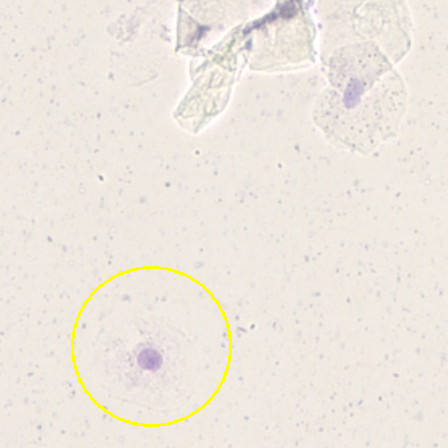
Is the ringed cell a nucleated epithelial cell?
Yes, it is a nucleated epithelial cell.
